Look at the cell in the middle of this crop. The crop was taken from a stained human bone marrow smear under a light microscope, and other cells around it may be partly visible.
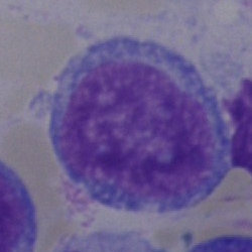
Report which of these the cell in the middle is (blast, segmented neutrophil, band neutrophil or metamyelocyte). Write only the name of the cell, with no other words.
blast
